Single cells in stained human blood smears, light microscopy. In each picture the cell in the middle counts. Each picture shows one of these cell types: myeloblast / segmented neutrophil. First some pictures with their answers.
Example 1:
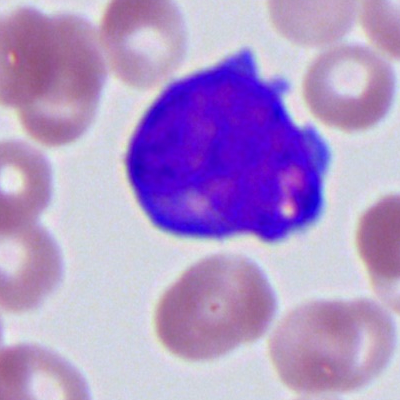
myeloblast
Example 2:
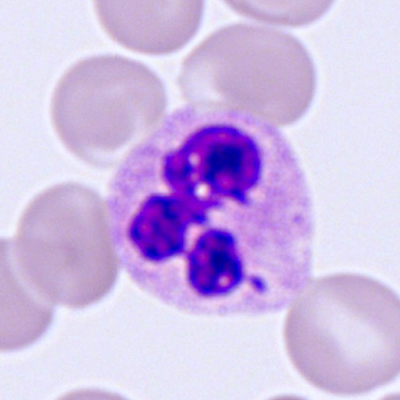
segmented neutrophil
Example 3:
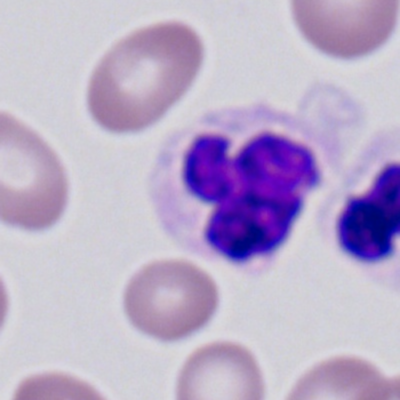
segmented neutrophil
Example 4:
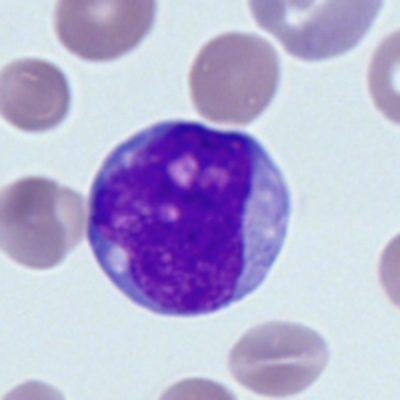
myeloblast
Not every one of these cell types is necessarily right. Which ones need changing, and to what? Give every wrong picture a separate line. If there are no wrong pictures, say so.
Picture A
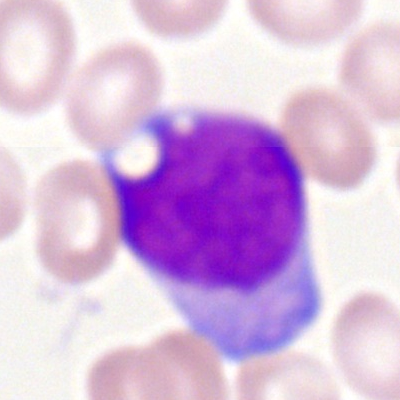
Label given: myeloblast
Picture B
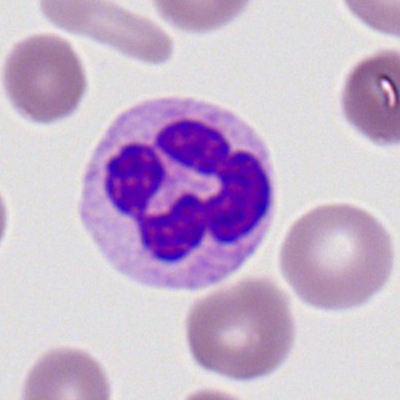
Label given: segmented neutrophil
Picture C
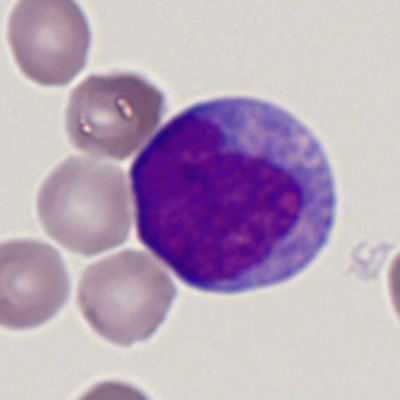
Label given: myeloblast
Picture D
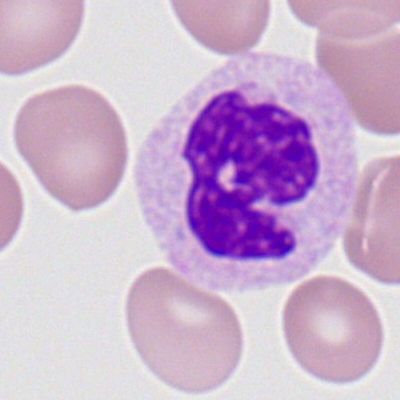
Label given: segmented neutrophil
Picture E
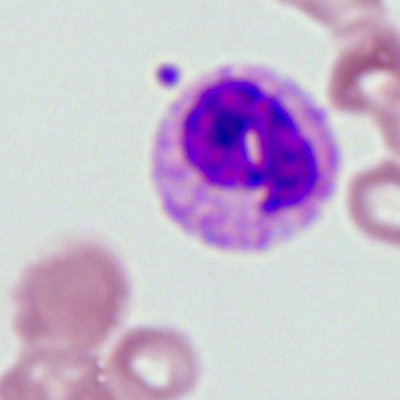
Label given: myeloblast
E: segmented neutrophil, not myeloblast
